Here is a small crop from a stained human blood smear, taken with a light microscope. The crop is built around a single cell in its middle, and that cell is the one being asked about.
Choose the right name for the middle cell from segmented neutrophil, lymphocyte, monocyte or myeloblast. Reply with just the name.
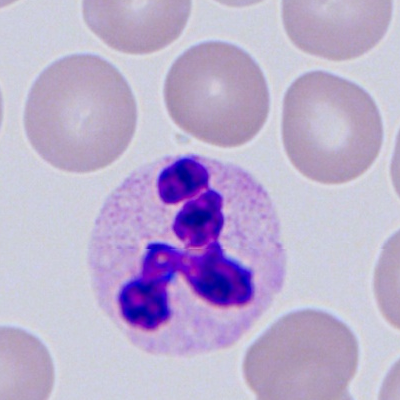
segmented neutrophil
